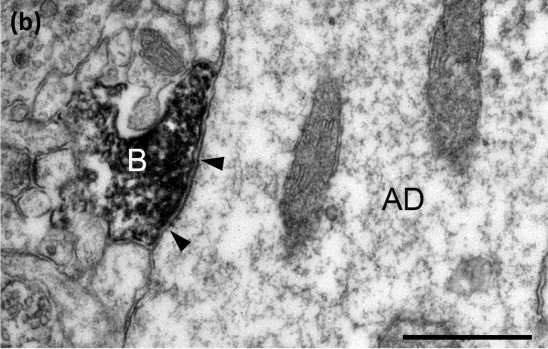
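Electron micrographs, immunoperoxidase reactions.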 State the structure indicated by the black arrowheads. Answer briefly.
synaptic junctions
